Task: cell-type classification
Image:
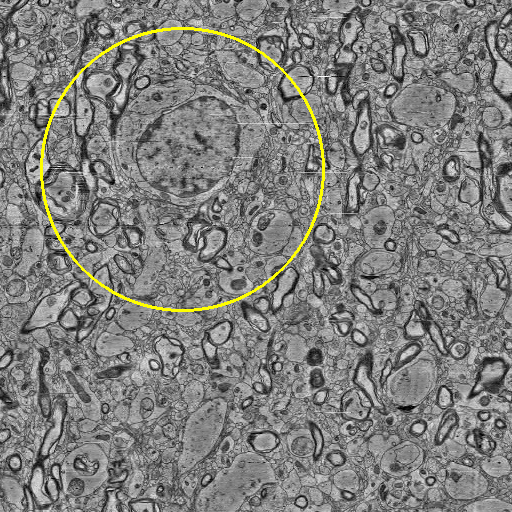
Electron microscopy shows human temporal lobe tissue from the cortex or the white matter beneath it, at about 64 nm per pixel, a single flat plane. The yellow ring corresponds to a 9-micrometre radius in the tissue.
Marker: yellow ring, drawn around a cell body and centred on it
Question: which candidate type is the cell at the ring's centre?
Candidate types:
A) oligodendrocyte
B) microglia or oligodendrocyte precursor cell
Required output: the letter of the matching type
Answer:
B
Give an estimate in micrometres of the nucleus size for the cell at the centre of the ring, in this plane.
The nucleus has a long axis of about 7 micrometres and a short axis of about 6 micrometres in this plane.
